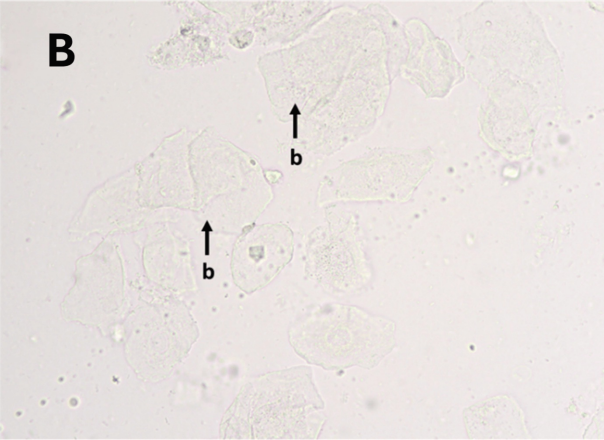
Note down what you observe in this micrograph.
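Large, flat, polygonal squamous epithelial cells lie singly and in loosely overlapping sheets on a pale, unstained background. Their outlines are thin and irregular, some with folded edges, and the cytoplasm is faintly granular. Most of these cells show no nucleus at all. A few smaller rounded cells are scattered among them.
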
